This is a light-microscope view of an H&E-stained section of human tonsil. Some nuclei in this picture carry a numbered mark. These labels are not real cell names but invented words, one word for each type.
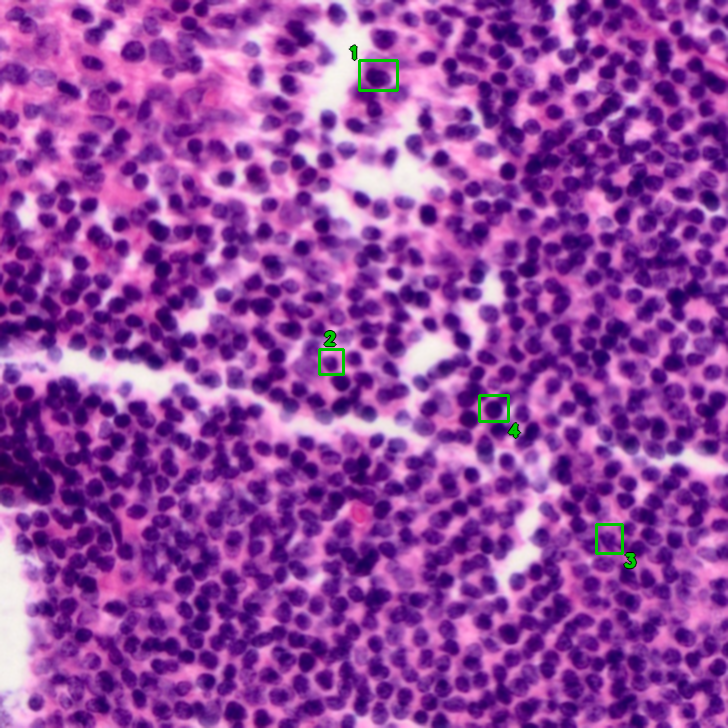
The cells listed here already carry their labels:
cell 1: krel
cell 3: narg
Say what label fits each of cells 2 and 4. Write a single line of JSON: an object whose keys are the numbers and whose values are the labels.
{"2": "narg", "4": "narg"}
